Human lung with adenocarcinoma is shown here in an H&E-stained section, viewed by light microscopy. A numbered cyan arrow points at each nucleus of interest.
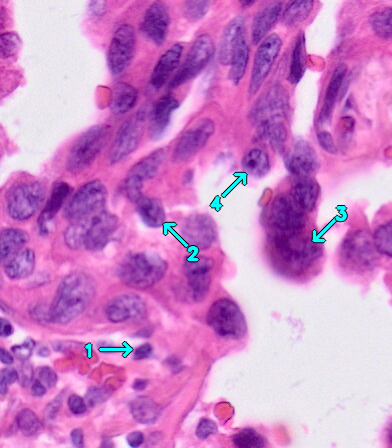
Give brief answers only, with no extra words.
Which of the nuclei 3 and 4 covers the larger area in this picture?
3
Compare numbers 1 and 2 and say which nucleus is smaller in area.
1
